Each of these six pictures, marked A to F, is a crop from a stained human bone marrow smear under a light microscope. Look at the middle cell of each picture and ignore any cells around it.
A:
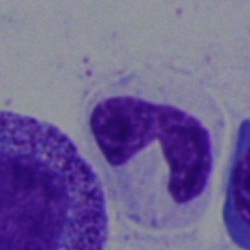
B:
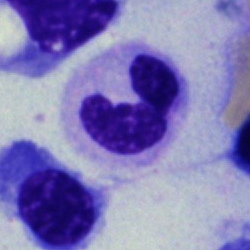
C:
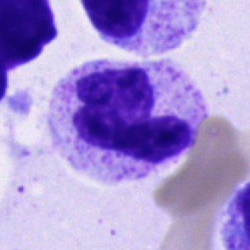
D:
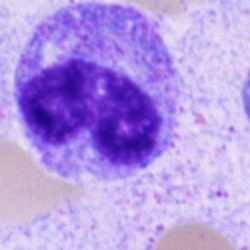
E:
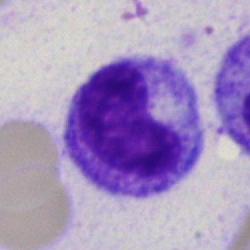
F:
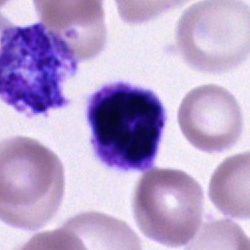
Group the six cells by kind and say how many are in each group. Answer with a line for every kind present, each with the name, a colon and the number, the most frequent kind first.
segmented neutrophil: 4
metamyelocyte: 2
